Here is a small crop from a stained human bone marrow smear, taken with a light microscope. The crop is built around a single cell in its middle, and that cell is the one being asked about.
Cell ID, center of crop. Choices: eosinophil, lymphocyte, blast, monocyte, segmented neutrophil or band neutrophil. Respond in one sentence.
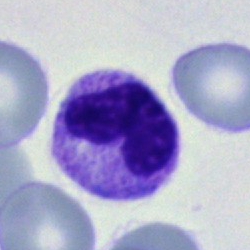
Looking at the middle of the crop, the cell there is a band neutrophil.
